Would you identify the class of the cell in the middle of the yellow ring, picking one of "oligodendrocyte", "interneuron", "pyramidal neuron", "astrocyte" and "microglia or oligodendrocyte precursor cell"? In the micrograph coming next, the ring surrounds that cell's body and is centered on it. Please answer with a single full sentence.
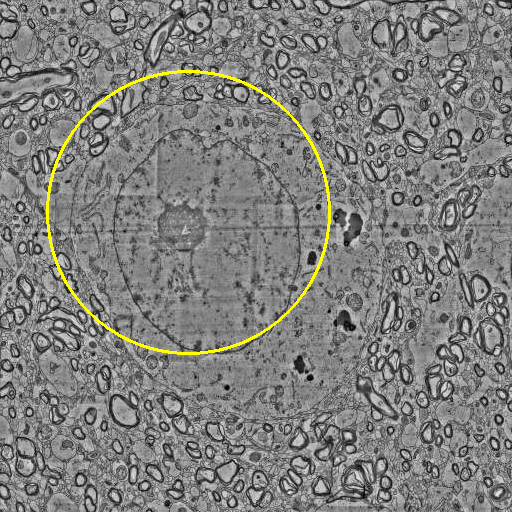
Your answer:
In the micrograph, it is a pyramidal neuron whose body lies at the ring's center.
